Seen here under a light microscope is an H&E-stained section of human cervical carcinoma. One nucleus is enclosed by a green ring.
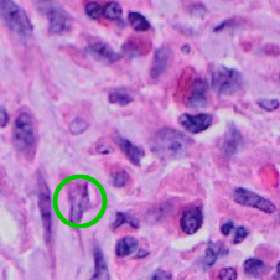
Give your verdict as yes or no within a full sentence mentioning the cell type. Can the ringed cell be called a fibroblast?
Yes, in terms of cell type, the ringed cell is a fibroblast.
